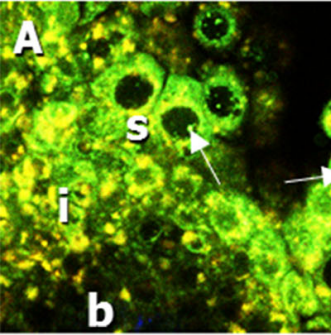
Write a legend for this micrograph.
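This view shows the multilayered urothelium, with cells of the superficial, intermediate and basal layers stacked through the lining. The cells are polygonal to rounded and tightly packed, with yellow-green fluorescent cytoplasm. At one edge, large rounded cells with thin bright rims and dark nuclei lie against a dark empty space. Small bright yellow granules are scattered through the deeper layers.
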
